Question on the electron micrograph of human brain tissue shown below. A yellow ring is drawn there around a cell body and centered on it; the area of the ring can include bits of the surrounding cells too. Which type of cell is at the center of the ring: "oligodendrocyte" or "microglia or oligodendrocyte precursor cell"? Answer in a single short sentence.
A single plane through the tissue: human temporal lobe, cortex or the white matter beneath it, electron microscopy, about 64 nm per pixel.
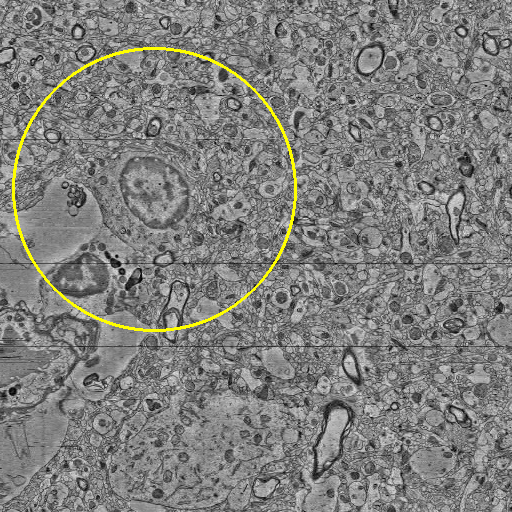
The ring is centered on an oligodendrocyte.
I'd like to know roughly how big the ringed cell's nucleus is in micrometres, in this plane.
In this plane, roughly 5 by 4 micrometres.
